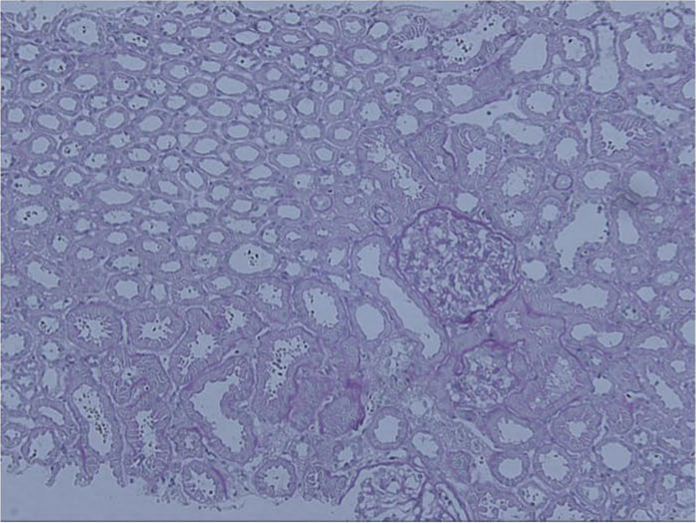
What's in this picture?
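This is kidney tissue stained pale pink-purple, with many tubules cut in cross-section closely packed across the upper left. The tubules are round with open lumens and thin walls outlined in pink, and the spaces between them are narrow. Toward the right and lower part, larger tubules with taller epithelium and glomeruli with lobulated capillary tufts inside a thin capsule appear. No clusters of small dark inflammatory cells are seen between the tubules.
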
